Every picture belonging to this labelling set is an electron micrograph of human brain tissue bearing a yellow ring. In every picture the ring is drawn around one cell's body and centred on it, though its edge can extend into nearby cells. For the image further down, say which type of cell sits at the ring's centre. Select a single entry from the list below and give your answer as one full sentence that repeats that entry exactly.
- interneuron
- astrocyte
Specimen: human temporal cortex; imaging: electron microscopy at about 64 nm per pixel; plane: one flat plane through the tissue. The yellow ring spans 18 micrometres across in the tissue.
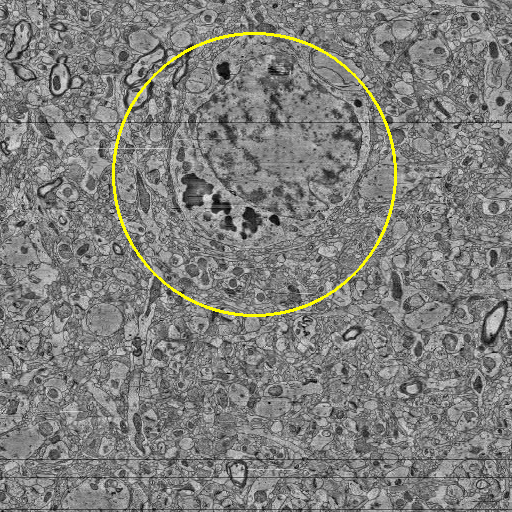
In the picture, an interneuron is the cell at the centre of the yellow ring.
